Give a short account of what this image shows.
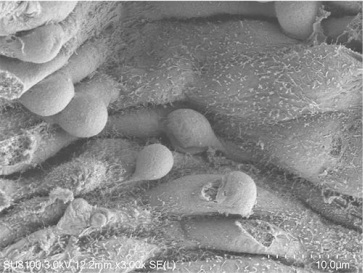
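Luminal surface of the endometrial epithelium showing pinopodes. Elongated epithelial cells lie side by side with ridged, slightly bulging apical surfaces clothed in short, sparse microvilli. Several smooth, rounded, balloon-like protrusions rise from the apical surfaces, some on narrow stalks, some nearly spherical. Their surfaces are smooth and largely free of microvilli, unlike the surrounding membrane. A few protrusions appear collapsed or ruptured, showing openings. Toward the upper left, cells are stacked in folds with further rounded projections along their edges.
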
